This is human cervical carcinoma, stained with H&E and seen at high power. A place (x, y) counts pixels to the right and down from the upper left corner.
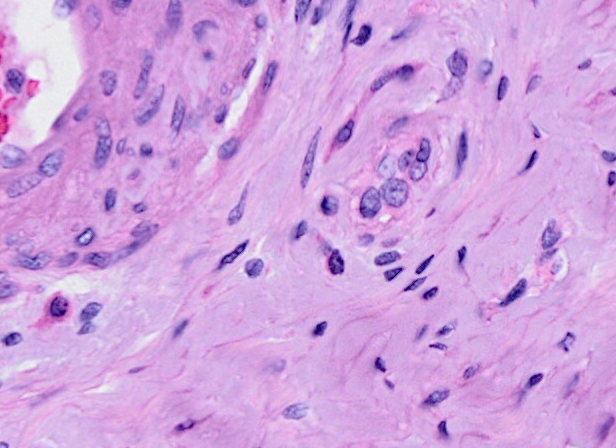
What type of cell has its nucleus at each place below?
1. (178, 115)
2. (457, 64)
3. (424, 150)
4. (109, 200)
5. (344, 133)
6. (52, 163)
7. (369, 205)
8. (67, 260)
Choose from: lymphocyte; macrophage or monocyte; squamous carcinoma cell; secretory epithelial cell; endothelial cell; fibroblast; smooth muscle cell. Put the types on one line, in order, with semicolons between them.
smooth muscle cell; fibroblast; endothelial cell; smooth muscle cell; smooth muscle cell; smooth muscle cell; endothelial cell; smooth muscle cell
